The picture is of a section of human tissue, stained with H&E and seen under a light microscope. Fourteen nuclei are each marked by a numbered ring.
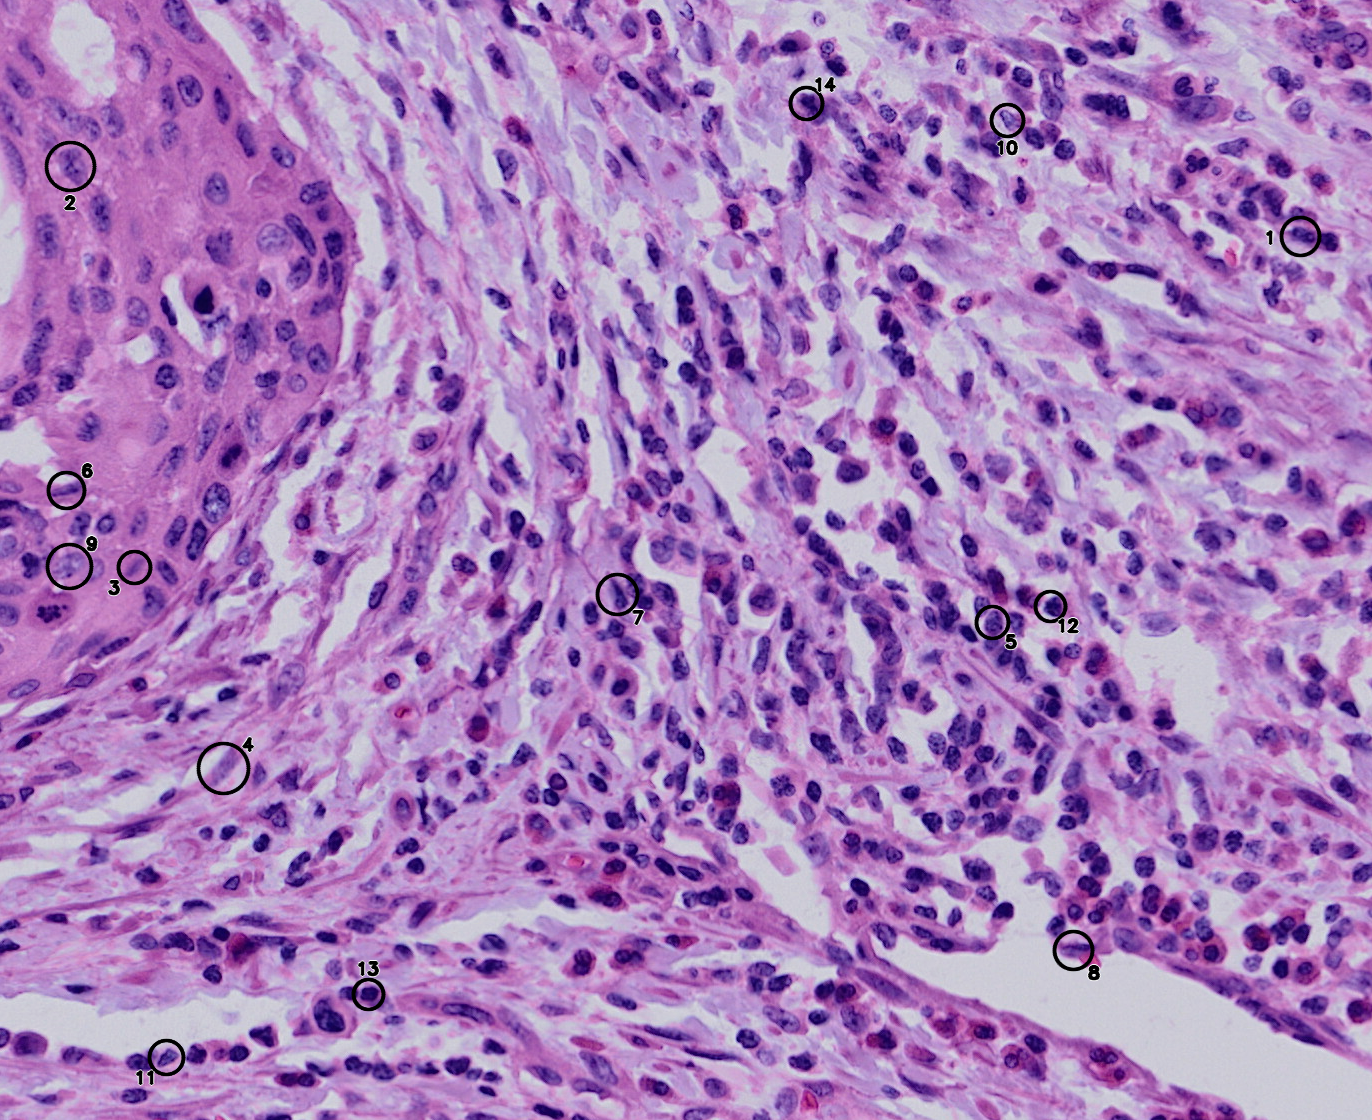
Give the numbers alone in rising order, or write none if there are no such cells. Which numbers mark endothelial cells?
8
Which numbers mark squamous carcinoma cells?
2, 3, 6, 9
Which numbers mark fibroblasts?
4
